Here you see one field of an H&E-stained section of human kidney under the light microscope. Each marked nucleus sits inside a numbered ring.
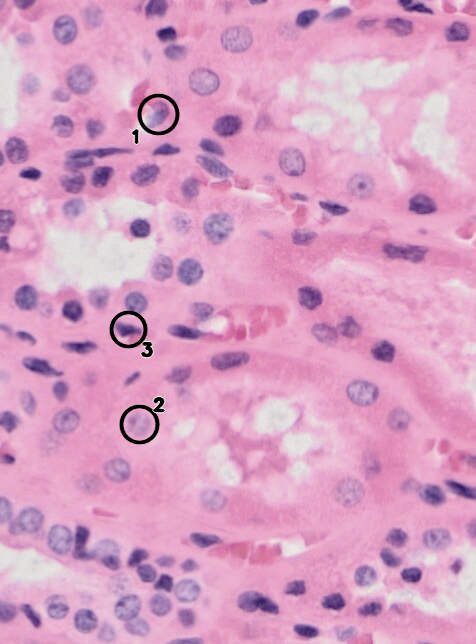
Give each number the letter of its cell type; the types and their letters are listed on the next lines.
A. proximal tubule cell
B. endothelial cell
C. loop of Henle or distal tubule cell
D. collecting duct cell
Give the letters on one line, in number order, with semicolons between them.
B; A; B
